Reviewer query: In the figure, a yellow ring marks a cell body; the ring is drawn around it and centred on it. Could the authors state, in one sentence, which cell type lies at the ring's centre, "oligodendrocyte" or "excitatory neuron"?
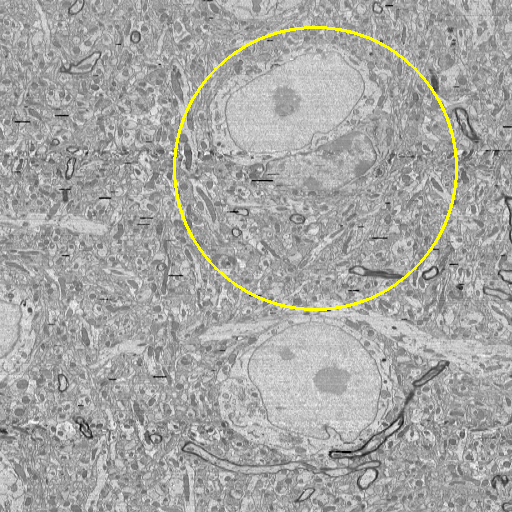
The ring is centred on an oligodendrocyte.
